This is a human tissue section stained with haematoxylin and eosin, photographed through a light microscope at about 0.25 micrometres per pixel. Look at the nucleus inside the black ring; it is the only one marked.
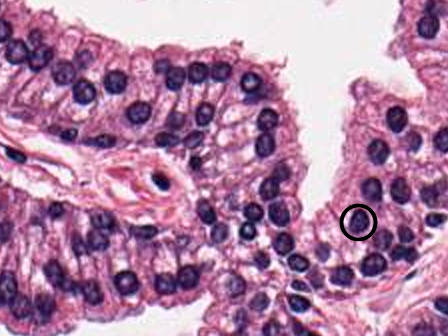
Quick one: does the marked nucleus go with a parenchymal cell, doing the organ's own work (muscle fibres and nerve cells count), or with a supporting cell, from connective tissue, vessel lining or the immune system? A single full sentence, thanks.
In the section shown, the marked nucleus belongs to a parenchymal cell, namely a prostate gland luminal cell.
